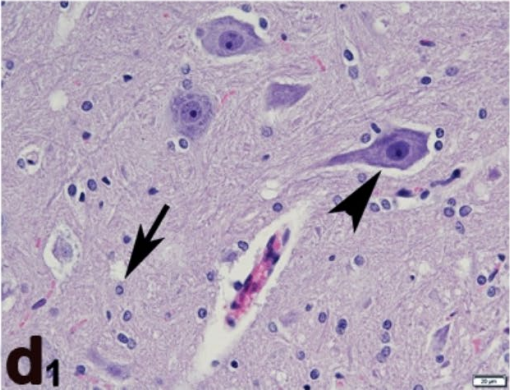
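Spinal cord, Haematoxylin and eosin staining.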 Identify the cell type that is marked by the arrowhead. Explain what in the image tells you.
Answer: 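Large cell body with abundant purple cytoplasm. Cell tapers into a long process. That points to this answer: motor neurons.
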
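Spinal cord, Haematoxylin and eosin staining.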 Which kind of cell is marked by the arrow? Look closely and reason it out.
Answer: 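Neuroglial cells. Small round dark nucleus with scant cytoplasm. Lies in the pink fibrillar neuropil among large neurons.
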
